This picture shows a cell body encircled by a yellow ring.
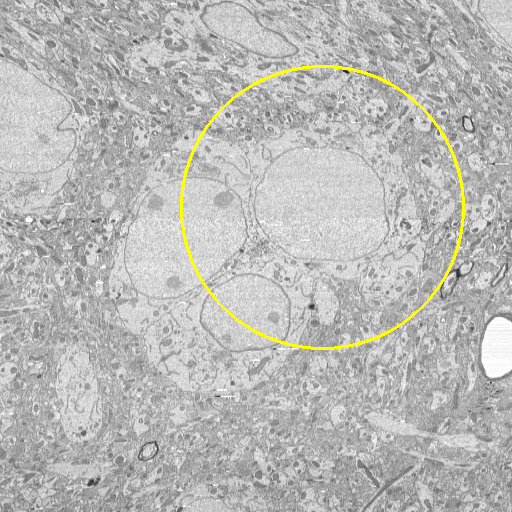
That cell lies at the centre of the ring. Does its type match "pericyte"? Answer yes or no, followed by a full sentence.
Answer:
No, in the picture, the ring surrounds a cell of another type at its centre.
